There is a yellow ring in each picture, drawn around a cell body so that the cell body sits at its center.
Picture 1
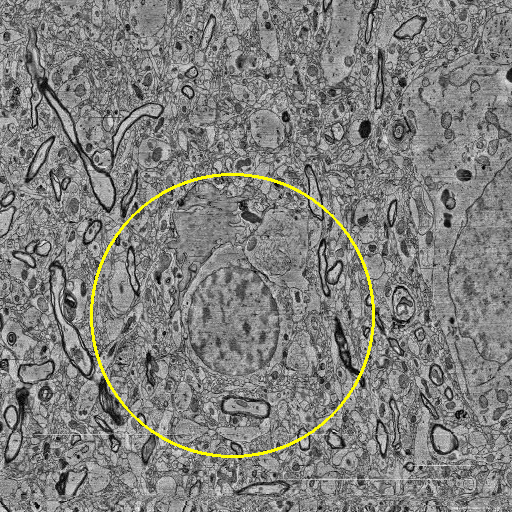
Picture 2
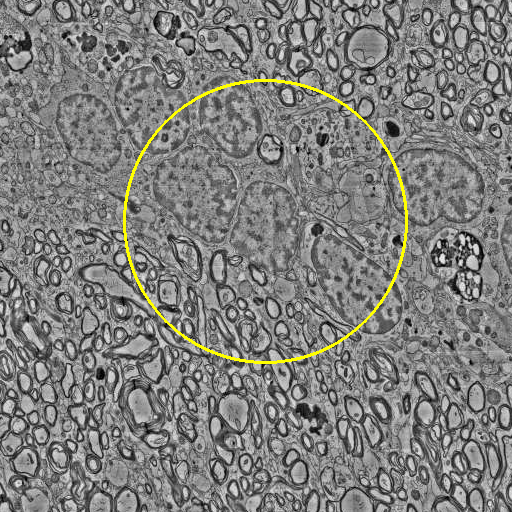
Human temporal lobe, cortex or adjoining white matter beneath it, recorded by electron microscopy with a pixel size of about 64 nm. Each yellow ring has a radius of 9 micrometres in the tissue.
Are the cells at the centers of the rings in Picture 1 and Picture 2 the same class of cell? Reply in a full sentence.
Yes, the two cells are the same class of cell.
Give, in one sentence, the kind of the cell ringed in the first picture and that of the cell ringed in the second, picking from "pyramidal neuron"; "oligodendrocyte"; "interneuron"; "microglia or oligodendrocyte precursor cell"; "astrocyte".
In the first picture and in the second, the ring is centred on an oligodendrocyte.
